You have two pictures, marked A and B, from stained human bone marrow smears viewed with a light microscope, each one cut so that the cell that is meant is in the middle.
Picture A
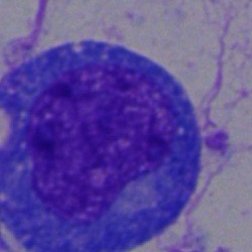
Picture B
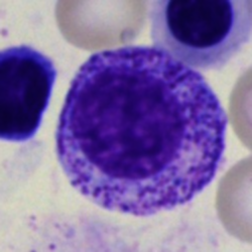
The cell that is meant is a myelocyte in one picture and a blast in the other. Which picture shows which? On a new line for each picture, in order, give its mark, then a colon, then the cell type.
A: blast
B: myelocyte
